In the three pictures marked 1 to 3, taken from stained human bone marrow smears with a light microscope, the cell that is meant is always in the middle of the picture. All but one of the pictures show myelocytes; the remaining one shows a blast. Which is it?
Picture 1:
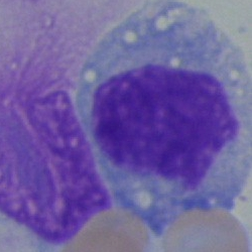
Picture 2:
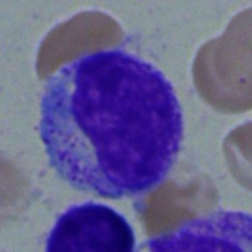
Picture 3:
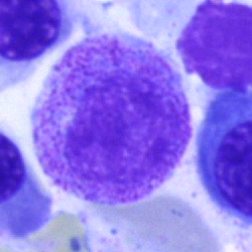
1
